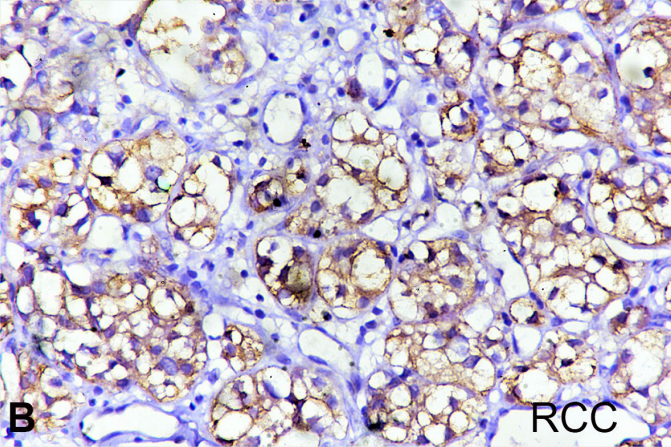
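Tumor cells with clear, vacuolated cytoplasm lie in rounded nests separated by thin, pale blue stroma with small vessels. Brown stain outlines the cell membranes and coats the fine strands around the vacuoles, so each nest looks like a brown lace of empty spaces. The stroma between the nests, with its slender elongated nuclei and thin-walled capillaries, stays blue and unstained.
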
